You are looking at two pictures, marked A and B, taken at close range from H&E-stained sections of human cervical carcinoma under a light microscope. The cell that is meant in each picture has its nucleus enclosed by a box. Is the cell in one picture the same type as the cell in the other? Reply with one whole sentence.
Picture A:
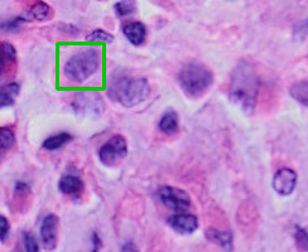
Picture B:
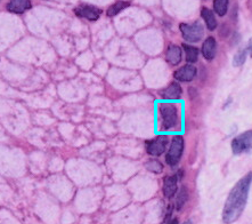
No. Picture A shows a “macrophage or monocyte”, but picture B shows a secretory epithelial cell.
